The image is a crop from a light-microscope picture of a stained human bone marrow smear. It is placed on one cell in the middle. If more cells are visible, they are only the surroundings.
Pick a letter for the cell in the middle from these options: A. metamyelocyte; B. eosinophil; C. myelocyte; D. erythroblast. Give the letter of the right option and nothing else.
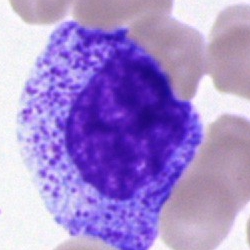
C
